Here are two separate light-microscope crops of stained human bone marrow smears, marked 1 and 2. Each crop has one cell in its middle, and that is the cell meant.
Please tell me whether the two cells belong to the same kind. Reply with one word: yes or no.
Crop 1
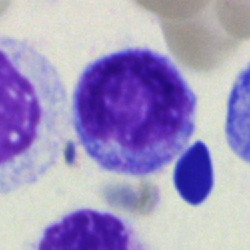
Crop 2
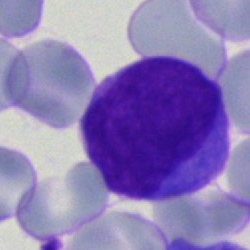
yes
